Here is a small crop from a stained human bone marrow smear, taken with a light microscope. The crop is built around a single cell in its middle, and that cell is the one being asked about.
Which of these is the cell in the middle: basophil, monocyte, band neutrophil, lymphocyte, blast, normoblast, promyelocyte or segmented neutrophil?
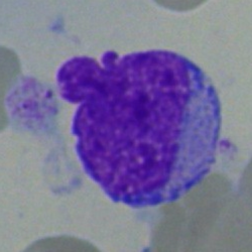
blast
